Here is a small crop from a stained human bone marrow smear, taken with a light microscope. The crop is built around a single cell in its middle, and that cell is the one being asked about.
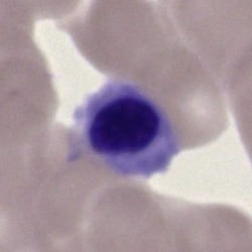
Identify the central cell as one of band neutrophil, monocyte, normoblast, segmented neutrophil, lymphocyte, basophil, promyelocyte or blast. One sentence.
The crop's centre is taken up by a normoblast.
